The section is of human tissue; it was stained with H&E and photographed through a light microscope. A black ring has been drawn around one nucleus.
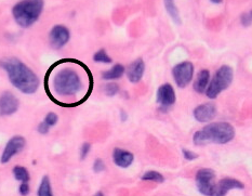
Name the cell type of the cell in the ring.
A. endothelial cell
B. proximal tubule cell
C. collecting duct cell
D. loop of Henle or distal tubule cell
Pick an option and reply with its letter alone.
A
